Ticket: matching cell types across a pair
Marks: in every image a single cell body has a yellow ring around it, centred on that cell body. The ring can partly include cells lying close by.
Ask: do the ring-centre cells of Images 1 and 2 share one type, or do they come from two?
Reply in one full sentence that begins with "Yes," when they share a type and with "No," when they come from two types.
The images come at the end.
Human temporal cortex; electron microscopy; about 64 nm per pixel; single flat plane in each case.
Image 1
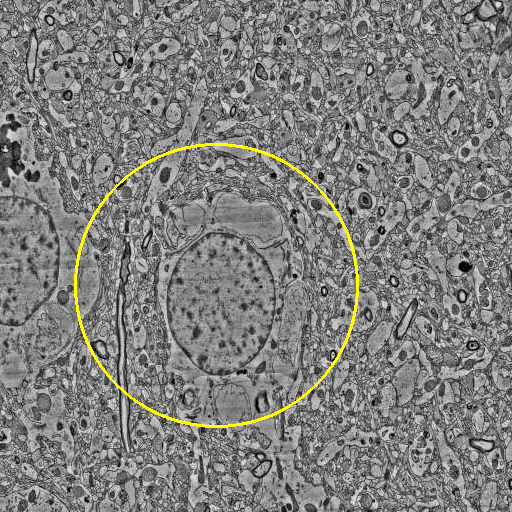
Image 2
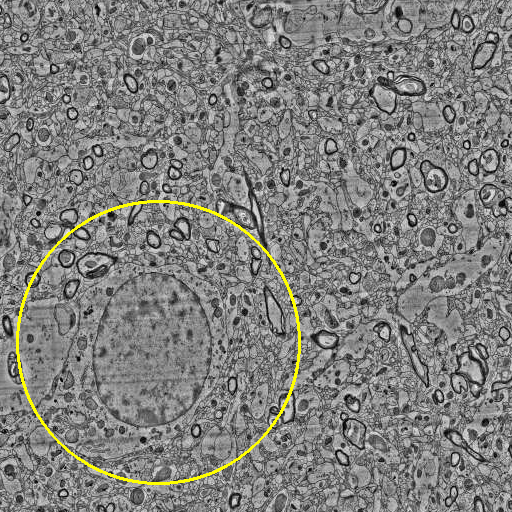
No, the cells in the centres of the rings in Image 1 and Image 2 come from two types.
